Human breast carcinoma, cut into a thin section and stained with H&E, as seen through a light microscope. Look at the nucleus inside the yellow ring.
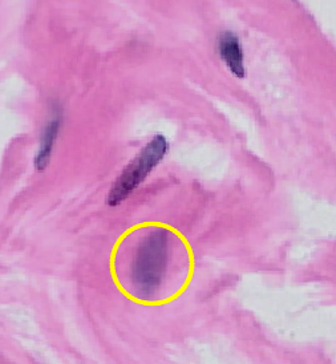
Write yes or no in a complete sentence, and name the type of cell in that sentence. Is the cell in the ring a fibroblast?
Yes, it is the case that the cell in the ring is a fibroblast.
